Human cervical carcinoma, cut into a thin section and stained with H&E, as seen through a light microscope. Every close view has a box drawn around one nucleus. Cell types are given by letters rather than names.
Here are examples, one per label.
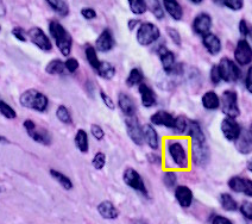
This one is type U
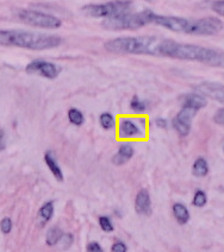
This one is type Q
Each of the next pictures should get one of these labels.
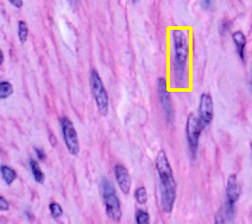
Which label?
type Q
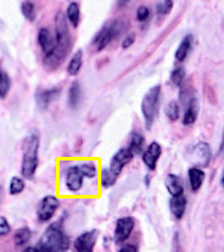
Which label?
type U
